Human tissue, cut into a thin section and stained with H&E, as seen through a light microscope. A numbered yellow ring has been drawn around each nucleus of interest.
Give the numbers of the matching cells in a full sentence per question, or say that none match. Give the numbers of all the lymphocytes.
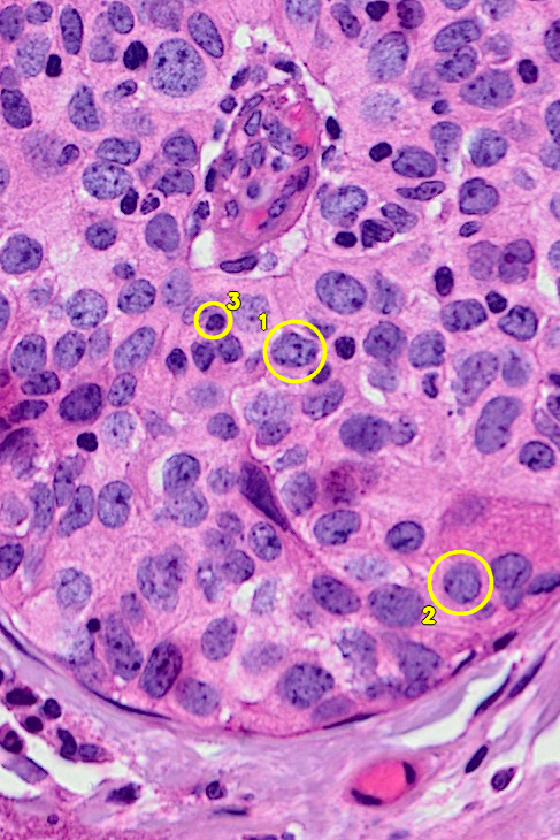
Only one choice fits: cell 3 is a lymphocyte, and no other.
